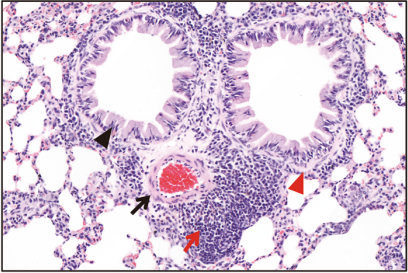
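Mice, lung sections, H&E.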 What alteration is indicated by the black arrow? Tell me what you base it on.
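A blood vessel filled with red blood cells is surrounded by a thick pink wall. The answer: vascular smooth muscle thickening.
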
